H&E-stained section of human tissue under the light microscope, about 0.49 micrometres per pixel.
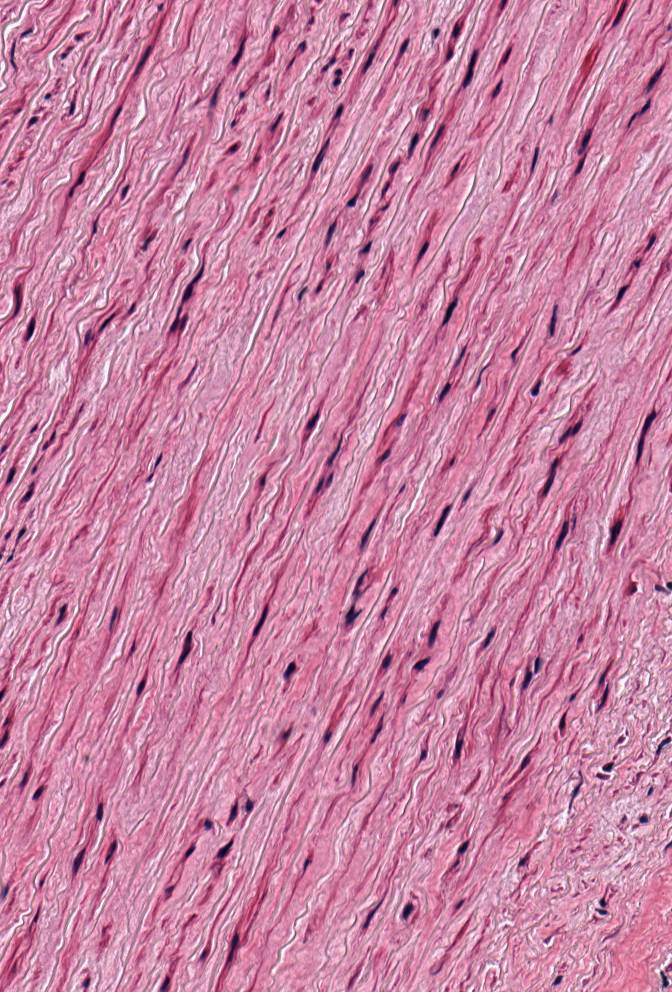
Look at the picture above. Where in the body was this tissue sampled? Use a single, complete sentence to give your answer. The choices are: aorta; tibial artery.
This section represents tissue sampled from the aorta.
